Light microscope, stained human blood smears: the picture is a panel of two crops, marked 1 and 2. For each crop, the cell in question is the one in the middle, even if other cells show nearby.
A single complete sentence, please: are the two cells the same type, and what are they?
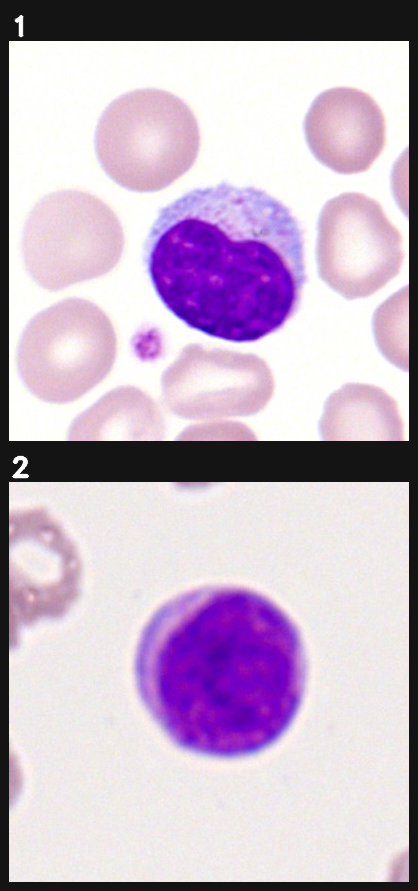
Yes, in the case of both crops, the central cells are lymphocytes.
